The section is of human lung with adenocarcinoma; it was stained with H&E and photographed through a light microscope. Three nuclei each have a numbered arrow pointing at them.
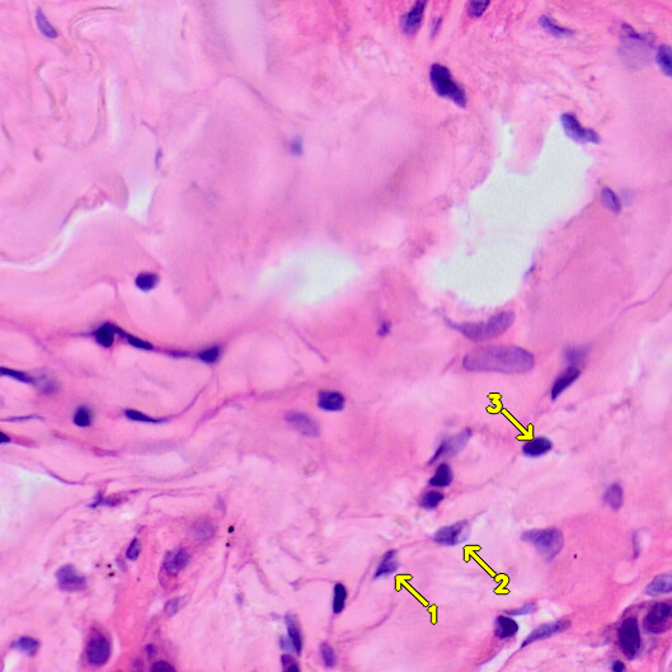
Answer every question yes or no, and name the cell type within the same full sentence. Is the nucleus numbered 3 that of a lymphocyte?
Yes, the cell whose number is 3 is a lymphocyte.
